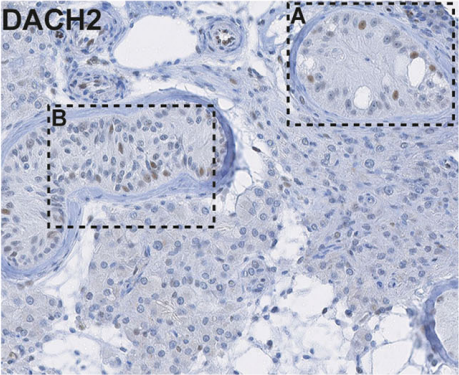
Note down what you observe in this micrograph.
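Testis tissue with Sertoli cell-only tubules surrounded by thick blue walls and an interstitium filled with many cells with round nuclei. Inside the tubules there are no germ cells; a fraction of the Sertoli cell nuclei are stained brown while most remain blue. One tubule has crowded, elongated nuclei arranged in several tiers, another contains clear vacuoles.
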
